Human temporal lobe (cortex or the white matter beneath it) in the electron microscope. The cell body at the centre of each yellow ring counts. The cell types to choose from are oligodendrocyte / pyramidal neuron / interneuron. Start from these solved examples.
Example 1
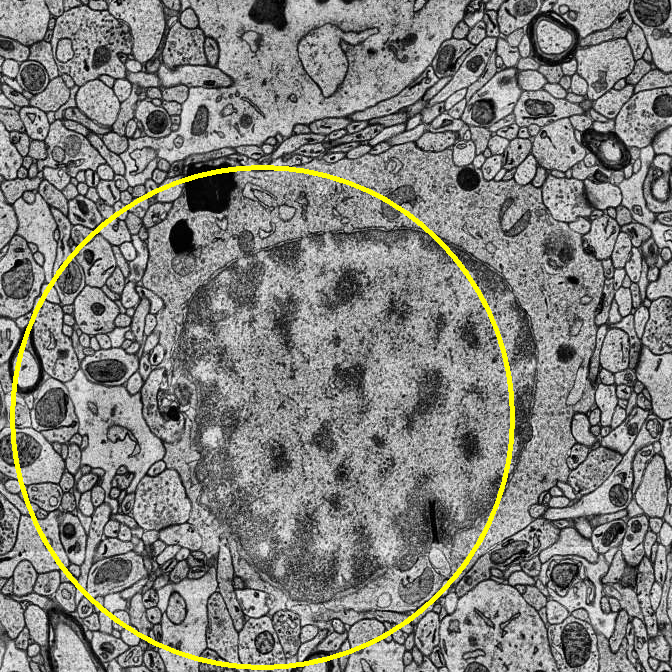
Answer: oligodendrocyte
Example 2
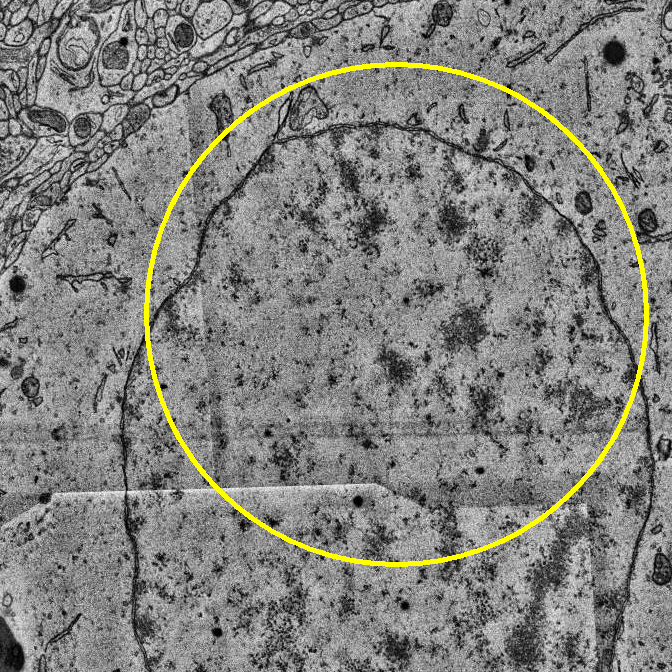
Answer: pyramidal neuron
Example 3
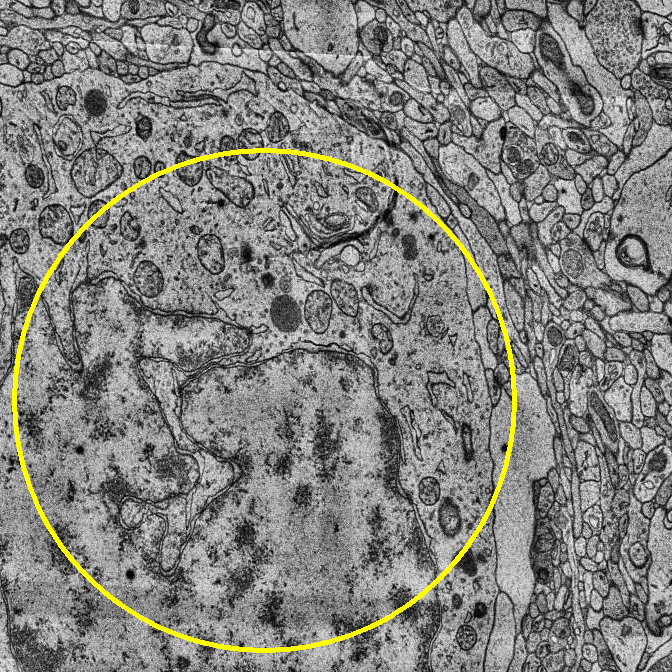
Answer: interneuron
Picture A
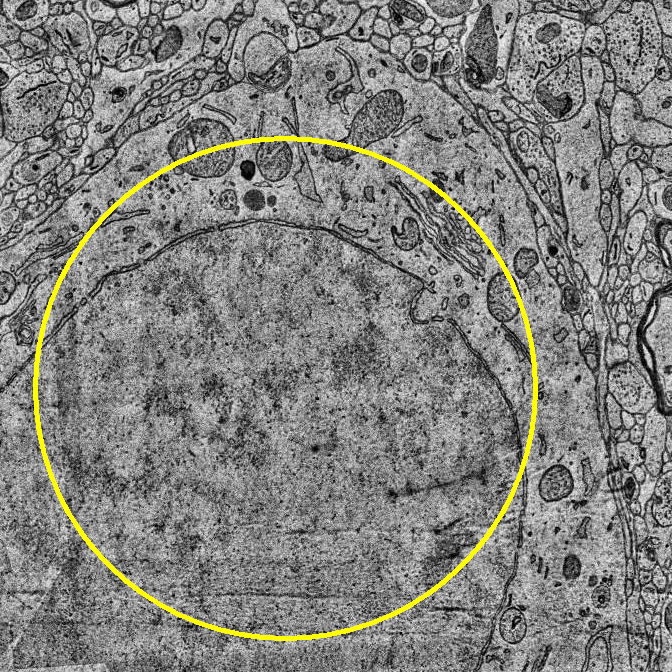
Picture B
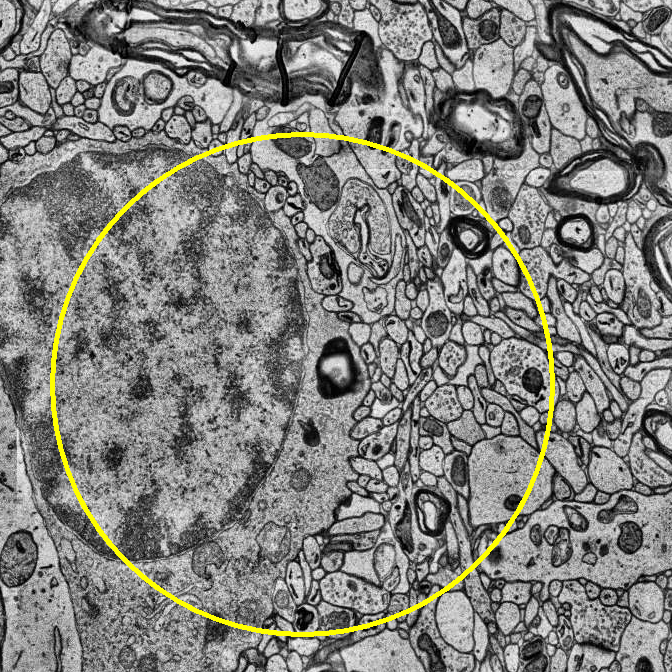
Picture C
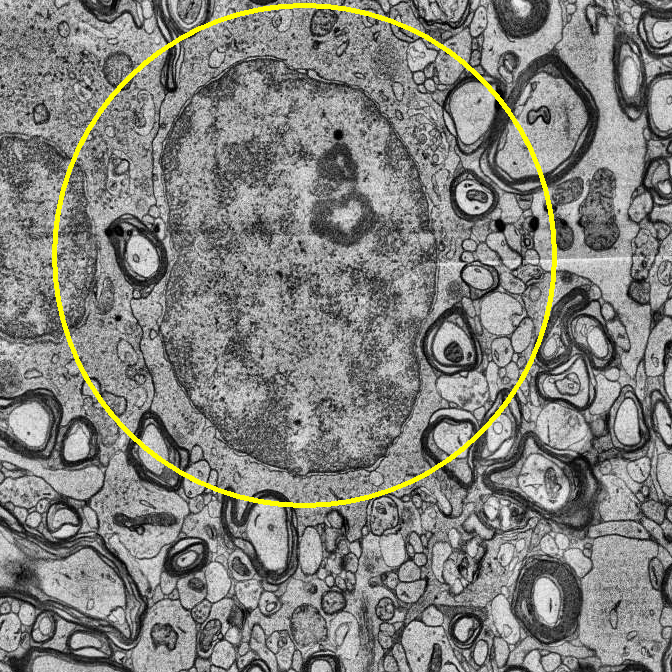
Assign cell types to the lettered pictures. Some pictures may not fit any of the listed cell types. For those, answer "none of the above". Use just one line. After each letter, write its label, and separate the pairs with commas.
A pyramidal neuron, B oligodendrocyte, C oligodendrocyte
